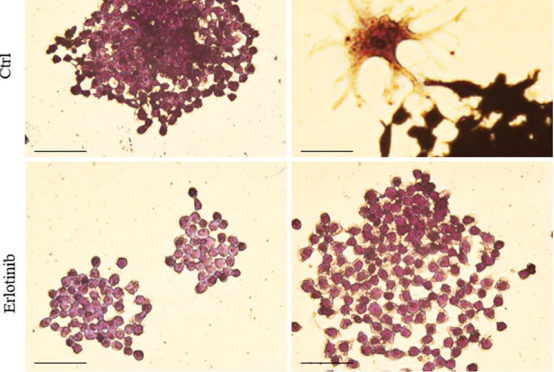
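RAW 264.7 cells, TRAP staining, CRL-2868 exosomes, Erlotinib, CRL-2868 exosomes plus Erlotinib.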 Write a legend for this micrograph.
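Cultured macrophage-line cells stained purple to red-violet, seen in four brightfield fields. Most fields show small round purple cells crowded in dense clusters. In one field a single large cell with an intensely red-brown centre sends out long, thin, branching processes, beside a dark, opaque mass.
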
